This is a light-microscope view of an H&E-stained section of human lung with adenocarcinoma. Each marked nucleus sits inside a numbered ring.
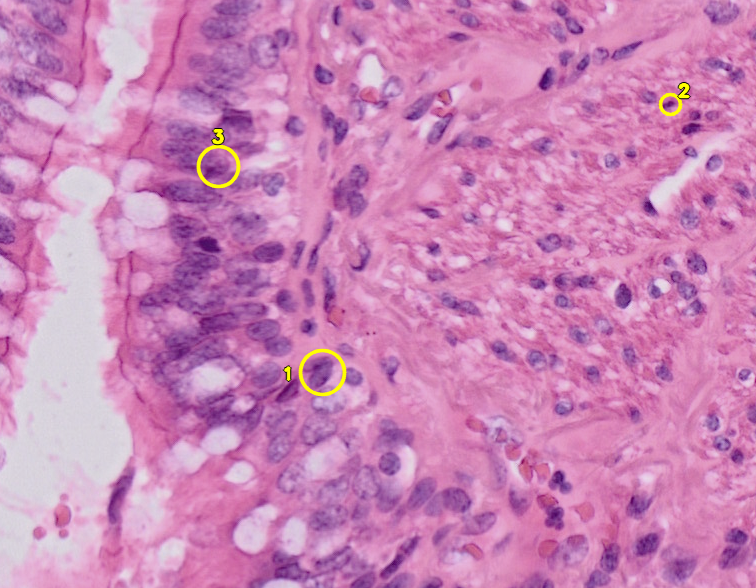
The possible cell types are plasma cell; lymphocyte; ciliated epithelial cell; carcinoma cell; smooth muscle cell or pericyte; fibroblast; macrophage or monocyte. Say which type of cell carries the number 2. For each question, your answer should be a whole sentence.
Among the marked cells, number 2 is a smooth muscle cell or pericyte.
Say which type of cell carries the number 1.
Among the marked cells, number 1 is a ciliated epithelial cell.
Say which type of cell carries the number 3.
Number 3 among the marked cells is a ciliated epithelial cell.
